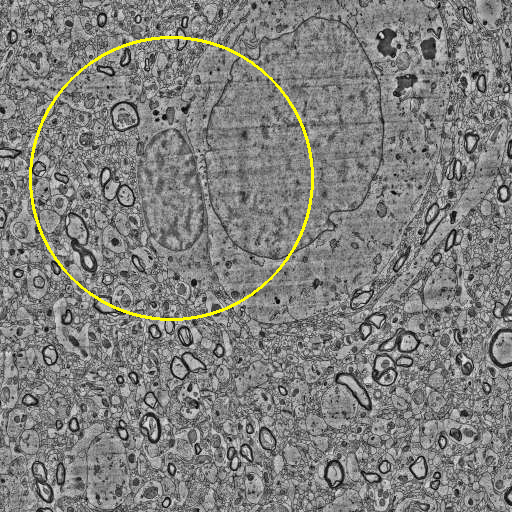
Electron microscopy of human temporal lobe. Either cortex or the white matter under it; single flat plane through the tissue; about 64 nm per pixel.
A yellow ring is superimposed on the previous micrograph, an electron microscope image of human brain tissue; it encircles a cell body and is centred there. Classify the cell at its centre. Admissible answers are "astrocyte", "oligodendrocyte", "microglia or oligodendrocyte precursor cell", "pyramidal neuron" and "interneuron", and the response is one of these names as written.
oligodendrocyte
